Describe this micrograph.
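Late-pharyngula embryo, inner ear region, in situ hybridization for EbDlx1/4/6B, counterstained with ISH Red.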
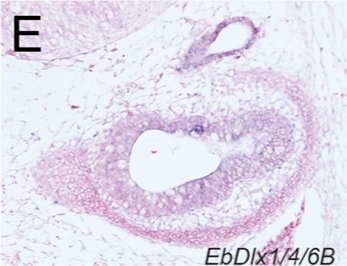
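A large vesicle with a wide, irregular lumen is lined by a thick epithelium of tall cells. Around it a curved wall of compact cells forms the enclosing capsule, and beyond that lies loose, pale mesenchyme. The purple tint is weak and lies mostly over the epithelial lining, so most of the tissue looks pink. A small separate duct-like profile sits above the main vesicle.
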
